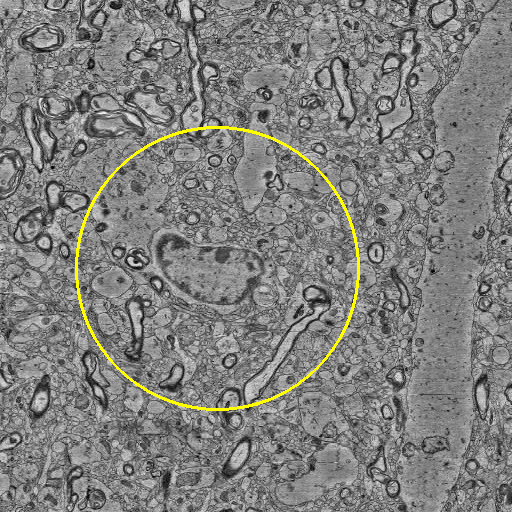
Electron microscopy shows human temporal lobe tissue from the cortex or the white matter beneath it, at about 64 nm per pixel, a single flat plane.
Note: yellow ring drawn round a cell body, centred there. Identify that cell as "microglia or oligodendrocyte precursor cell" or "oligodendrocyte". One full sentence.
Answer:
The cell in the middle of the ring is a microglial cell or oligodendrocyte precursor cell.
